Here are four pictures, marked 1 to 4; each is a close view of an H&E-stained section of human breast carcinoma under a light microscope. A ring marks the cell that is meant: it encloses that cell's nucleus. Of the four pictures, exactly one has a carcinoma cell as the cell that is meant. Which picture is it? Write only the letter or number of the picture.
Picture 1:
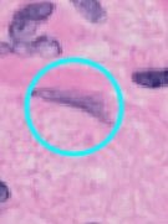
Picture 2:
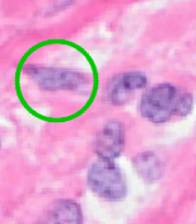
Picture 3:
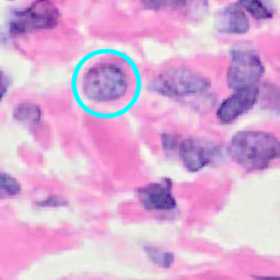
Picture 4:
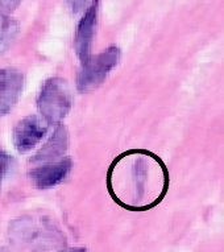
3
